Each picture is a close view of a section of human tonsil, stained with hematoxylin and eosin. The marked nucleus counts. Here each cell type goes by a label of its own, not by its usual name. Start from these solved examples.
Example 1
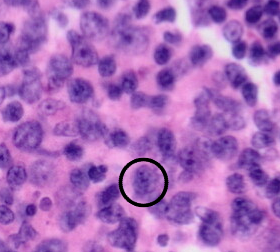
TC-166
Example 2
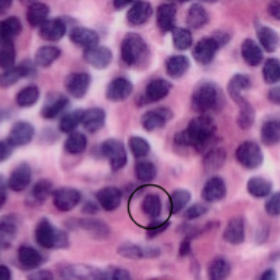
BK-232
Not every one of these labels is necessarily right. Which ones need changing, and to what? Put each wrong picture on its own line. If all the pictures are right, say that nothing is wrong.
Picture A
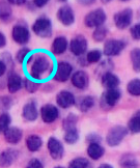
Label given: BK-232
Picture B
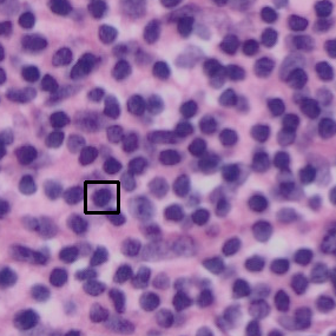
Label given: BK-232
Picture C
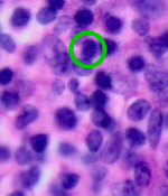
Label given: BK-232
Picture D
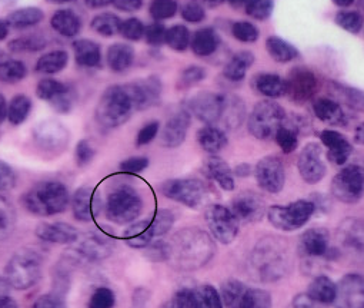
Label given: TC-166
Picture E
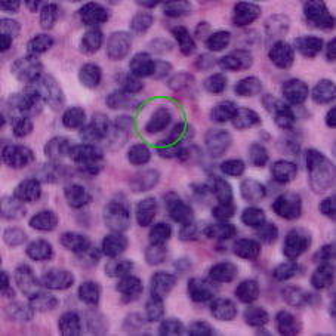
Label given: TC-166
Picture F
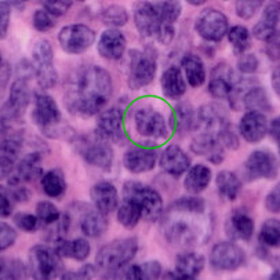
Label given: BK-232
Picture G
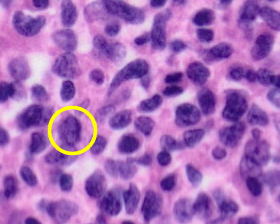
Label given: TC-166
Wrong: E (TC-166); correct: BK-232
Wrong: F (BK-232); correct: TC-166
